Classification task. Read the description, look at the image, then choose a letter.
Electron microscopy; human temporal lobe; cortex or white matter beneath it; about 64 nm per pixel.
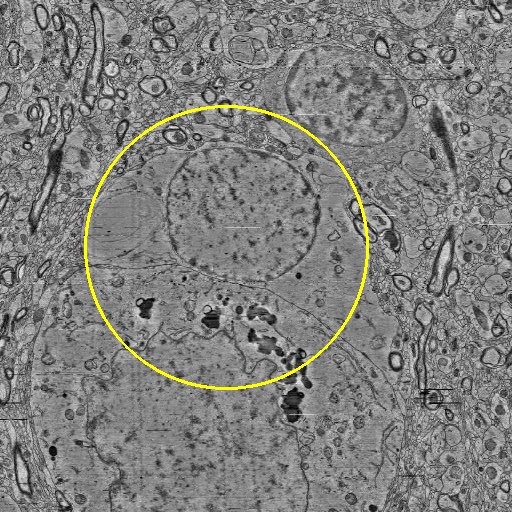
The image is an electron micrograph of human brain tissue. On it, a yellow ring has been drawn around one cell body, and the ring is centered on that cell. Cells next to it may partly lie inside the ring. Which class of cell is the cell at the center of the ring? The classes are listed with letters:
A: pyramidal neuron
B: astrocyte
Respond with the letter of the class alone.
B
